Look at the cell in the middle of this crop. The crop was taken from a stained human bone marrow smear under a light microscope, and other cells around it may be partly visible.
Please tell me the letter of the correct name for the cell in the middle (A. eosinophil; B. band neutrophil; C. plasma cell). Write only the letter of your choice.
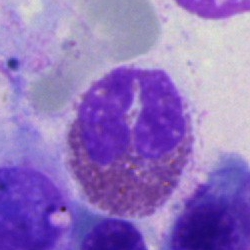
A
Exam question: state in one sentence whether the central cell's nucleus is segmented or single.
Two or more lobes make up the nucleus of this cell.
